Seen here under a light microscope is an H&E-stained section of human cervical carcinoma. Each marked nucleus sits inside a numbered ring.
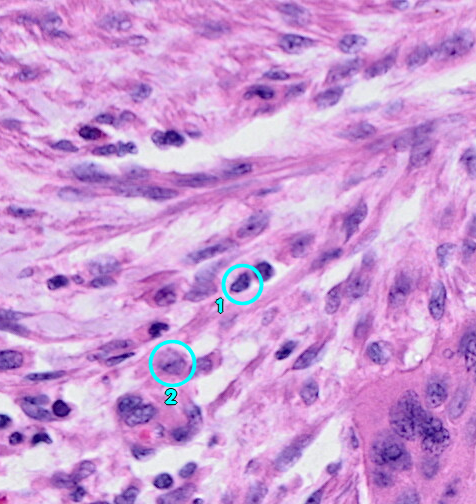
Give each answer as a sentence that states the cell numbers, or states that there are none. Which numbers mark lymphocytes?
Only one marked cell, number 1, is a lymphocyte.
